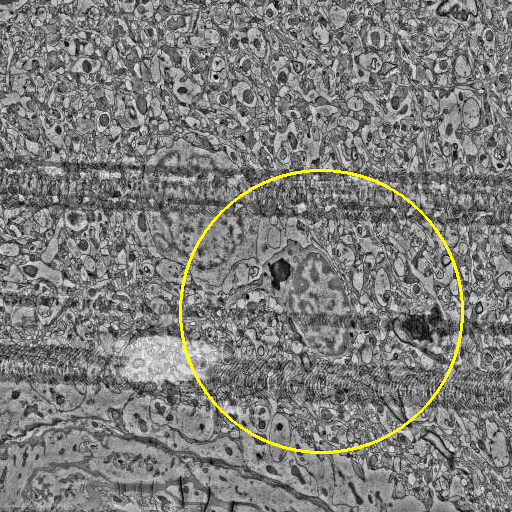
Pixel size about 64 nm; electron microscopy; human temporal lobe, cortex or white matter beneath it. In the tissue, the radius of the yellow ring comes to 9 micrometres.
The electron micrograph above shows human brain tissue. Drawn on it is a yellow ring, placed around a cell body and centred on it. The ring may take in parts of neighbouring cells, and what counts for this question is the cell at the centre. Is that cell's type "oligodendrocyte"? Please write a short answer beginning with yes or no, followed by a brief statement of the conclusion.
Yes, its type is the one named.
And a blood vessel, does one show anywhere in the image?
Yes, there is one.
